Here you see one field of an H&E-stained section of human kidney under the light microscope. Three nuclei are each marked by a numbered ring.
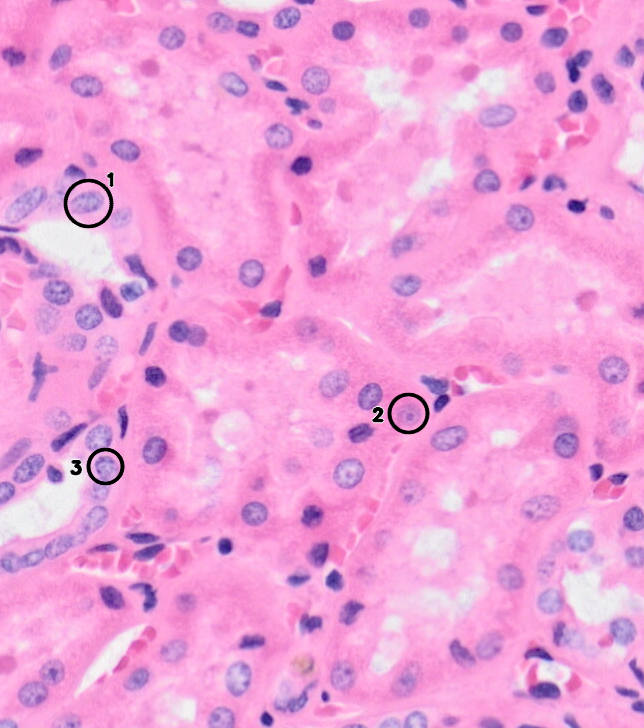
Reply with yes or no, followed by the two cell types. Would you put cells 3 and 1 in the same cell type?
Yes, collecting duct cells are what cells 3 and 1 both are.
